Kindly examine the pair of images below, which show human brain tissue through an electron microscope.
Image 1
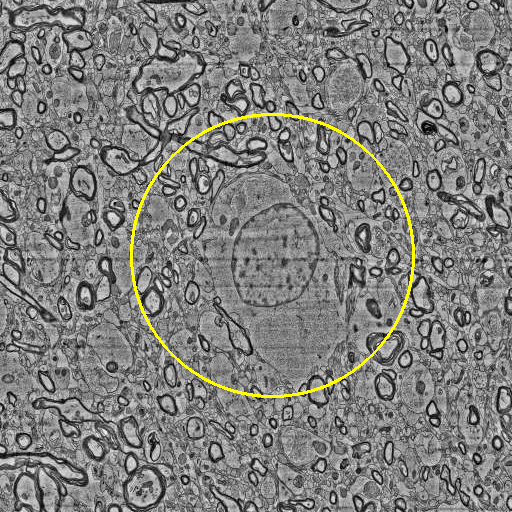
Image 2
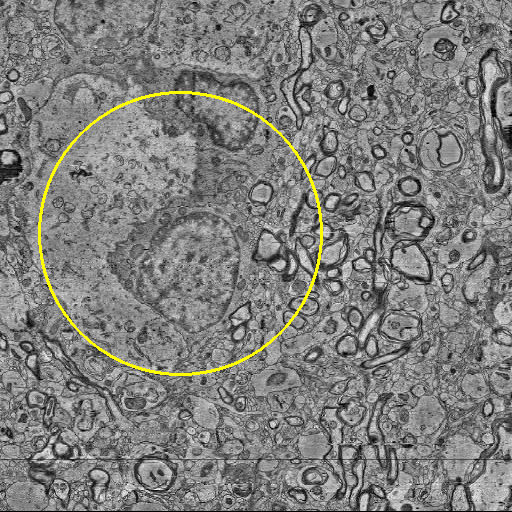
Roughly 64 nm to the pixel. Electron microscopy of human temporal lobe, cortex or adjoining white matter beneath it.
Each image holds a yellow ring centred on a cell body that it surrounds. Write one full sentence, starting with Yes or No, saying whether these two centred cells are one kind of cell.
No, the cells at the centres of the yellow rings belong to two kinds of cell.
